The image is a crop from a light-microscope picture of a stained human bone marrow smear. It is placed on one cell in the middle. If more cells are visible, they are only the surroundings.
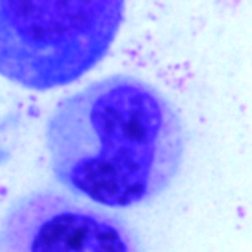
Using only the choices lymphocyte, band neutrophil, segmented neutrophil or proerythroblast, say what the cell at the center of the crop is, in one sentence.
In the central position of this crop, the cell is a band neutrophil.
